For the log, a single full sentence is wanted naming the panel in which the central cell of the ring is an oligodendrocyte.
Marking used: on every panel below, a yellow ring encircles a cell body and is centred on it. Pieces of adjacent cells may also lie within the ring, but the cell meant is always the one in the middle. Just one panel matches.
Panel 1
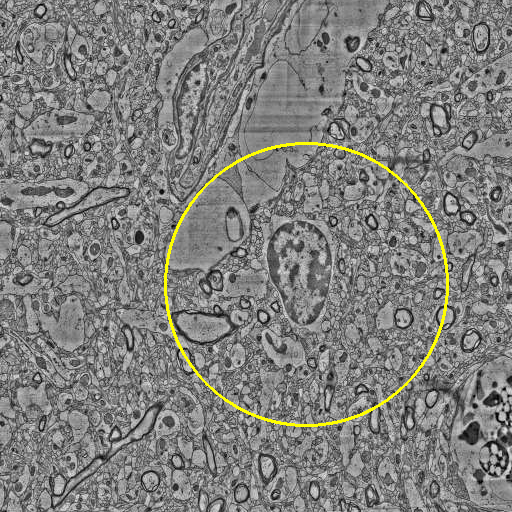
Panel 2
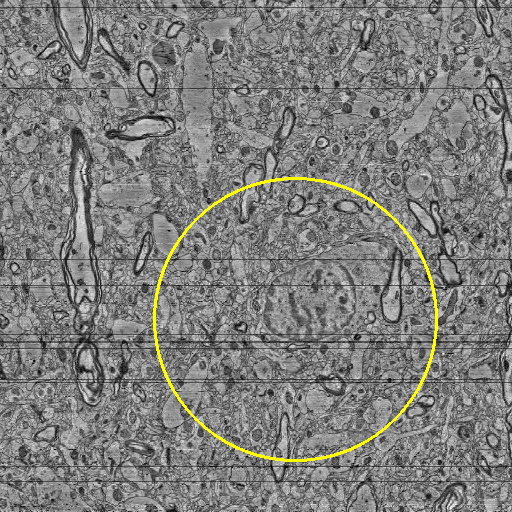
The cell in the middle of the ring in panel 2 is the one asked for.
